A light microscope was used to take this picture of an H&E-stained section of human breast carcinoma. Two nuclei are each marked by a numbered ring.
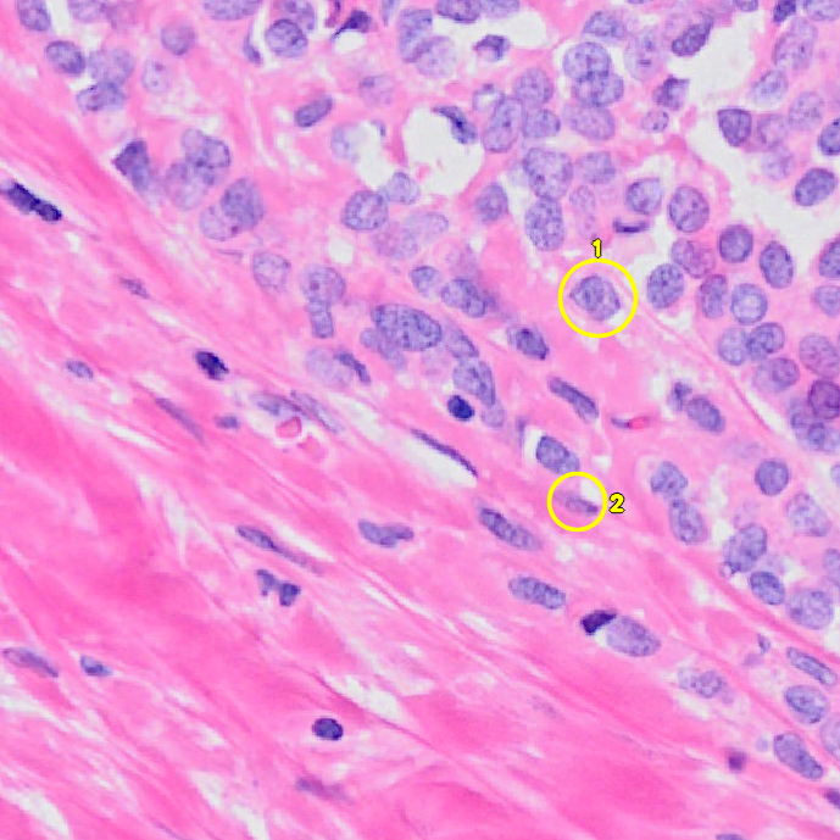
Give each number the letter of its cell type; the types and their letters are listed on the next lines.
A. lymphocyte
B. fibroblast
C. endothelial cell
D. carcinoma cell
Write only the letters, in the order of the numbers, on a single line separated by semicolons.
D; B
